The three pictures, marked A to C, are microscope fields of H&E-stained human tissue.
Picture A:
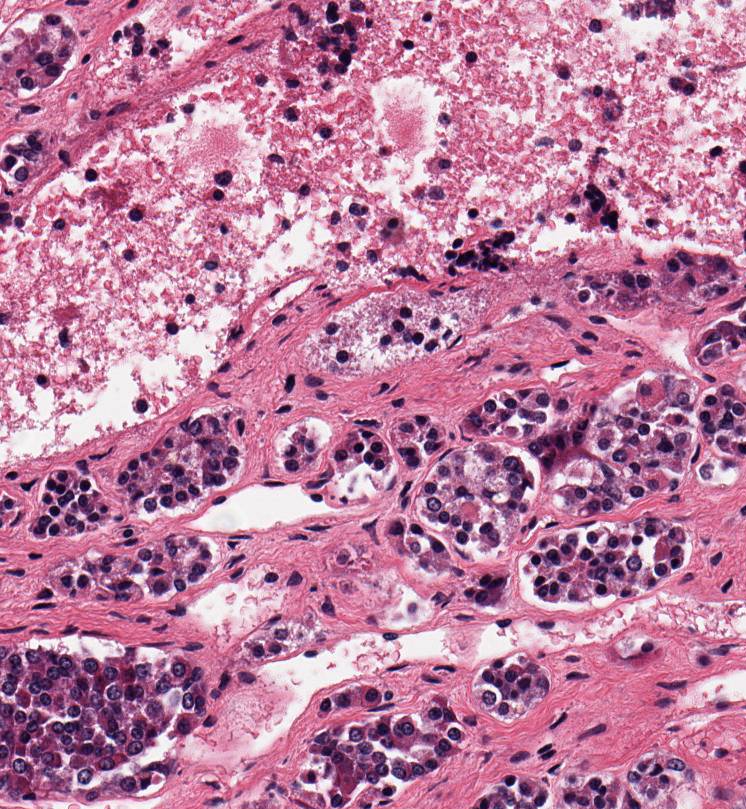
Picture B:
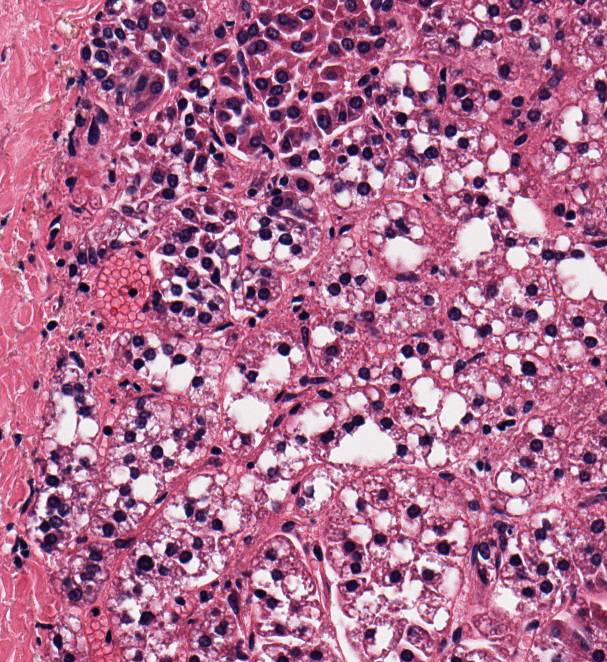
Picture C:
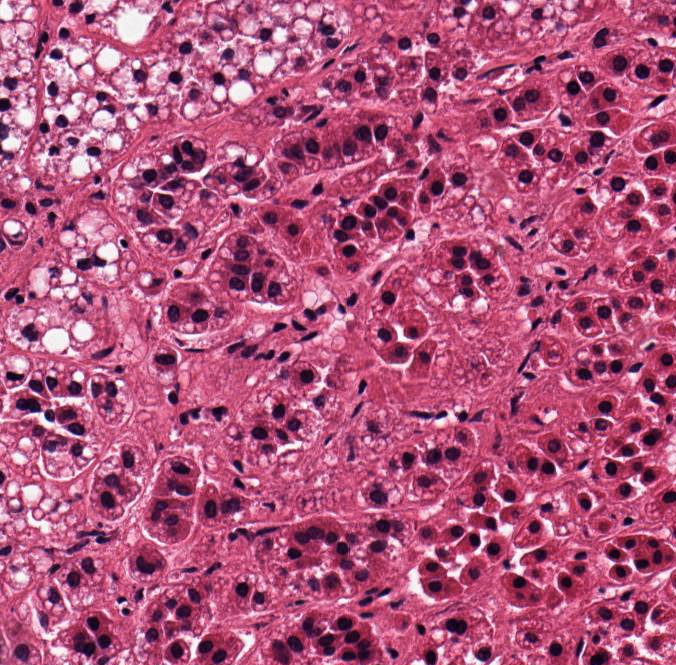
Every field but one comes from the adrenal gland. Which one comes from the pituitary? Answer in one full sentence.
It is picture A that comes from the pituitary.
